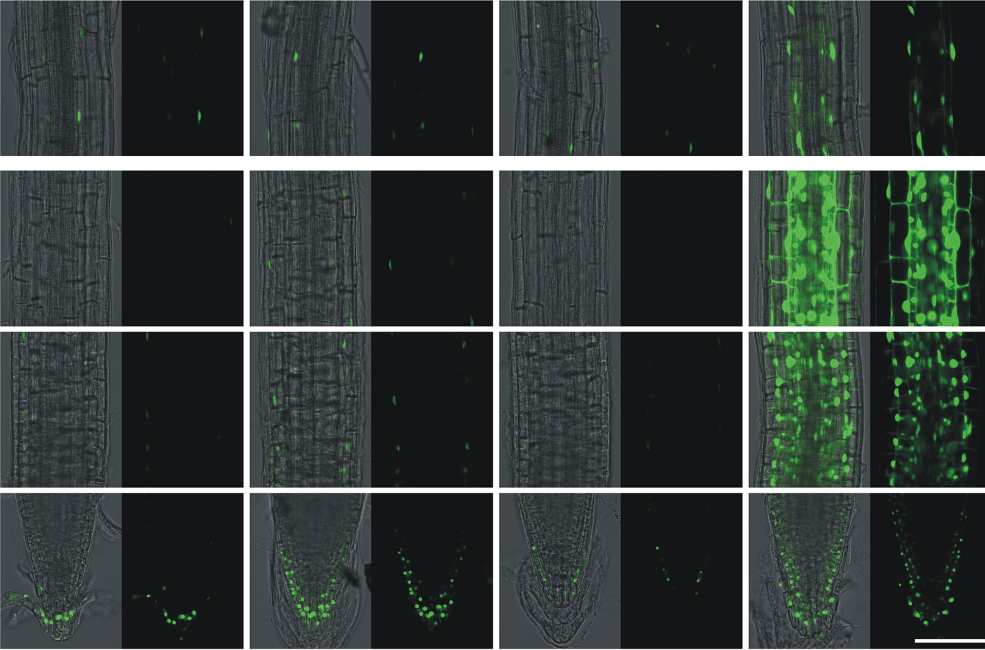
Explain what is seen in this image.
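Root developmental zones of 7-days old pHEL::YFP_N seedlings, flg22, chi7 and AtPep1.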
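This is a grid of root images at four positions along the root, from the older root in the top row down to the root tip with its cap in the bottom row, each shown merged with brightfield and as fluorescence alone. The brightfield shows long files of rectangular cells further up the root and a rounded tip of small, densely packed cells at the bottom. The green fluorescence is mostly in small round or oval dots that look like nuclei, and in most columns these are few and scattered, gathered mainly at the very tip. In the rightmost column the green is far stronger: many bright nuclei in the rows near the tip and further up, and in the second row whole cells are lit up, with their outlines and cytoplasm glowing around the nuclei.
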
